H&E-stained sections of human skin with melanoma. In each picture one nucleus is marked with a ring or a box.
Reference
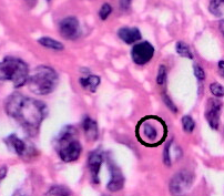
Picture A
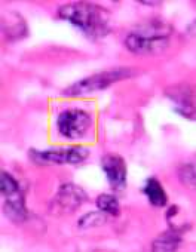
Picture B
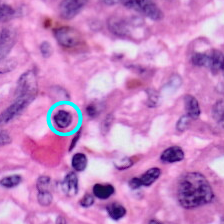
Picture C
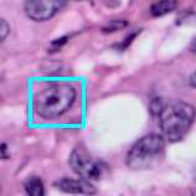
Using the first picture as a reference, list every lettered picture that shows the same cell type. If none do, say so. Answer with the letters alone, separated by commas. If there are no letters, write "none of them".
A, B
